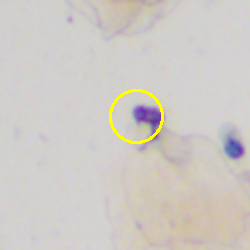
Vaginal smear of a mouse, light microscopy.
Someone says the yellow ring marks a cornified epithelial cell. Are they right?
They are not: the ring marks a leukocyte.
